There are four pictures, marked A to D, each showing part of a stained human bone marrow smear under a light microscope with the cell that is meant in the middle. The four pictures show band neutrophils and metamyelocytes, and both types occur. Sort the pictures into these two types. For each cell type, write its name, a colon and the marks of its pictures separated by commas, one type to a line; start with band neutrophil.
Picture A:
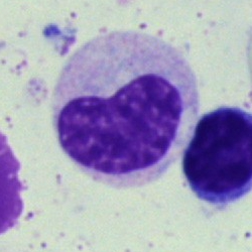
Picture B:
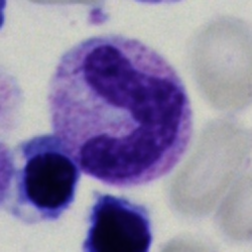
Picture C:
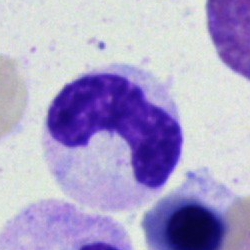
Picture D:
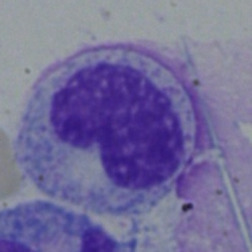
band neutrophil: B, C
metamyelocyte: A, D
